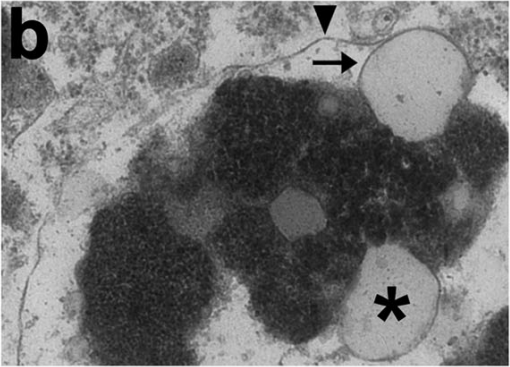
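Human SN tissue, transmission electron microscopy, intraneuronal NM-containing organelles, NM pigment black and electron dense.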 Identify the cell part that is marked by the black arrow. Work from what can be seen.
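Membrane. The arrow points to the thin dark line rimming a round pale body at the upper right.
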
